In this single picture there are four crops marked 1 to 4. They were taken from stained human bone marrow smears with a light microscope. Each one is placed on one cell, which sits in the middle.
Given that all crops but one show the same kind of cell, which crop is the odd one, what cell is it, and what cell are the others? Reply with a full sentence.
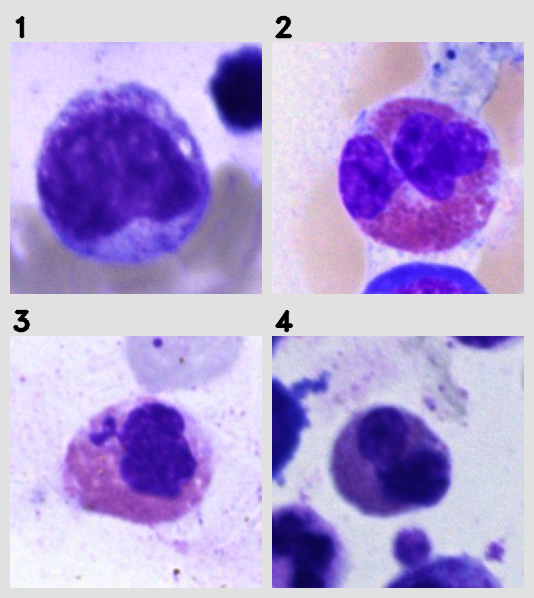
In every crop except crop 1, which shows a promyelocyte, eosinophils are shown.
